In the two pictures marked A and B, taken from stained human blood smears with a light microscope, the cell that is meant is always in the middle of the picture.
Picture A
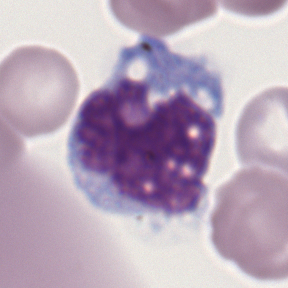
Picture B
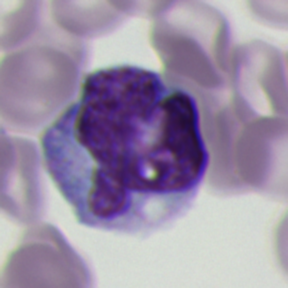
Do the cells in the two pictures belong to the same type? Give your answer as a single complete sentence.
Yes, the two pictures both show monocytes.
